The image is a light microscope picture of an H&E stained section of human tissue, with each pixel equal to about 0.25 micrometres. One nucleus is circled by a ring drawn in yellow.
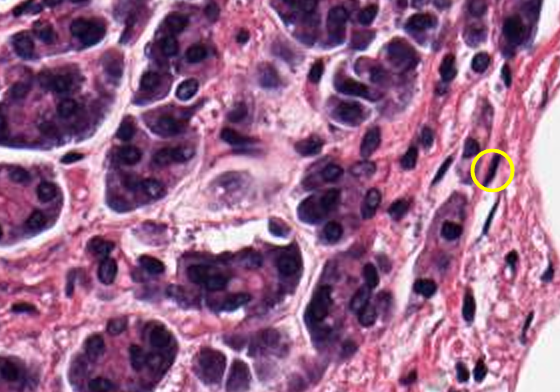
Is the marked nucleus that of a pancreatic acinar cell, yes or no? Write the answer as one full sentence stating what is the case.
No, rather than to a pancreatic acinar cell, the marked nucleus belongs to a supporting cell.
